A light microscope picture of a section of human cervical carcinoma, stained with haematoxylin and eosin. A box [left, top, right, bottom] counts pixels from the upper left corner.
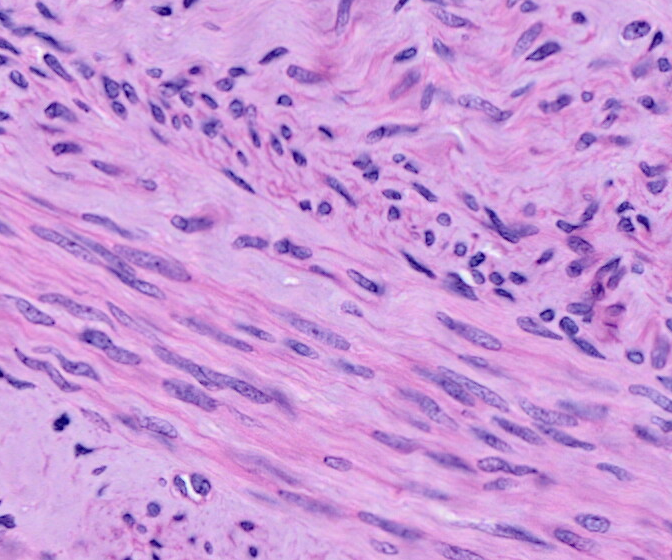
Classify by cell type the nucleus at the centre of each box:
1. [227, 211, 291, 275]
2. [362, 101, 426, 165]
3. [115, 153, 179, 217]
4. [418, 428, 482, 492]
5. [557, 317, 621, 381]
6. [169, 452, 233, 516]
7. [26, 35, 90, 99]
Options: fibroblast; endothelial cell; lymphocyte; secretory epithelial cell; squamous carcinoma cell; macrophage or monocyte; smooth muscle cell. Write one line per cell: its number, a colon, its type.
1: smooth muscle cell
2: smooth muscle cell
3: smooth muscle cell
4: smooth muscle cell
5: fibroblast
6: endothelial cell
7: fibroblast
